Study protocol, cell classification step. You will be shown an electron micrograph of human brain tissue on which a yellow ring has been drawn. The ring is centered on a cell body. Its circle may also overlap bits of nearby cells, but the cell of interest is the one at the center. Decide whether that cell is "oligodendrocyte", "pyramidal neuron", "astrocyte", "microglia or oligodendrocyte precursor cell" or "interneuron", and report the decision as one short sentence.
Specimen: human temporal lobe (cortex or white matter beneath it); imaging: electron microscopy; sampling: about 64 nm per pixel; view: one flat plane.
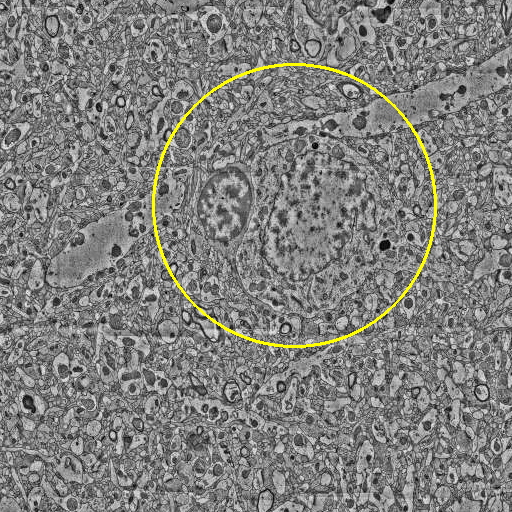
The marked cell is an interneuron.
